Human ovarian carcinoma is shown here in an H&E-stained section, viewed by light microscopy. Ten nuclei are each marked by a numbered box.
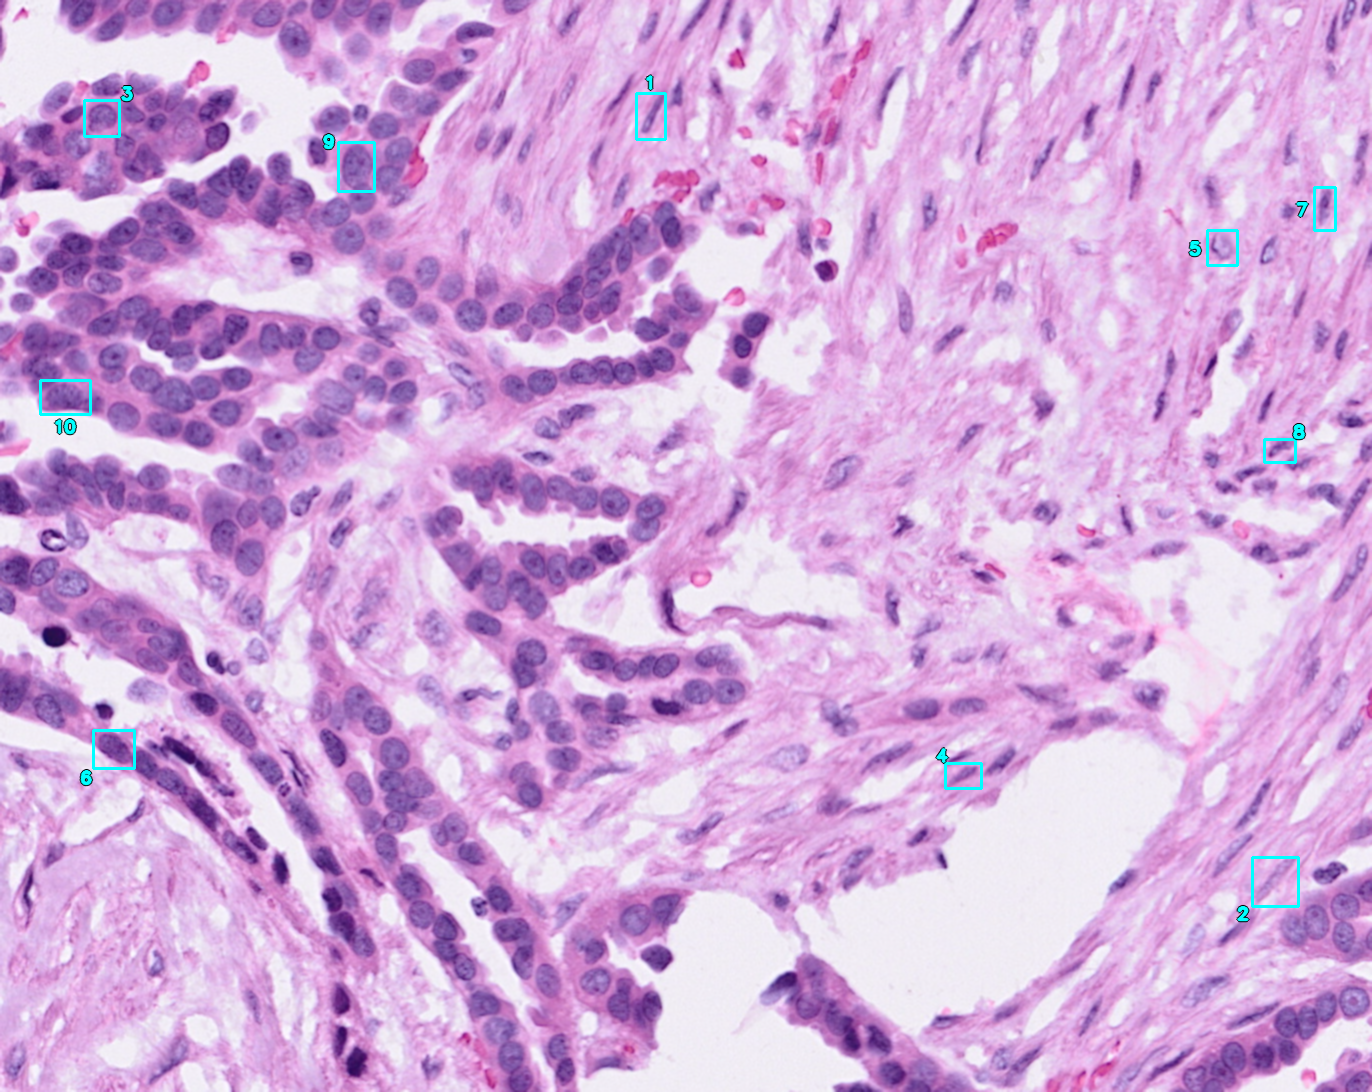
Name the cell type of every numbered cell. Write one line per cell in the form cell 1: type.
cell 1: fibroblast
cell 2: fibroblast
cell 3: carcinoma cell
cell 4: fibroblast
cell 5: fibroblast
cell 6: carcinoma cell
cell 7: fibroblast
cell 8: fibroblast
cell 9: carcinoma cell
cell 10: carcinoma cell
